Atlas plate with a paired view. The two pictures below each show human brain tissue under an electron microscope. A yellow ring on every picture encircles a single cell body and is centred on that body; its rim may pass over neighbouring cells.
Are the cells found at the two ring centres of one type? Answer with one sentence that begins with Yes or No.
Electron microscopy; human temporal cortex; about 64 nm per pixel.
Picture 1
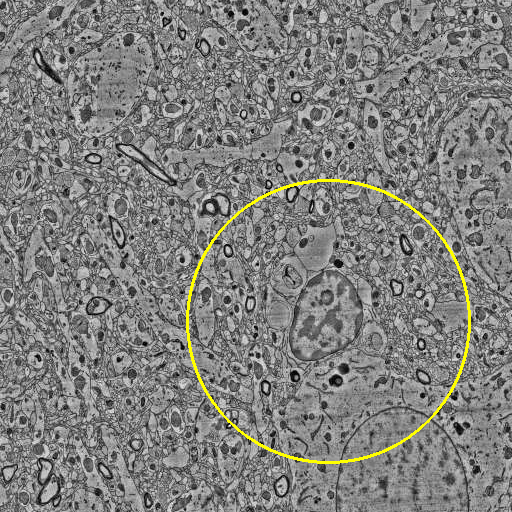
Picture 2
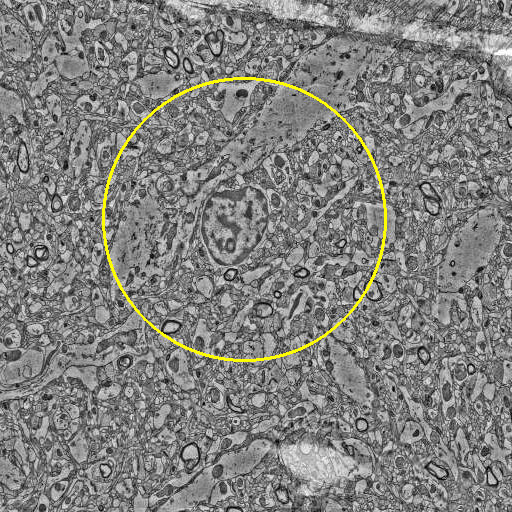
Yes, the two cells lying at the centres of the rings share a single type.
